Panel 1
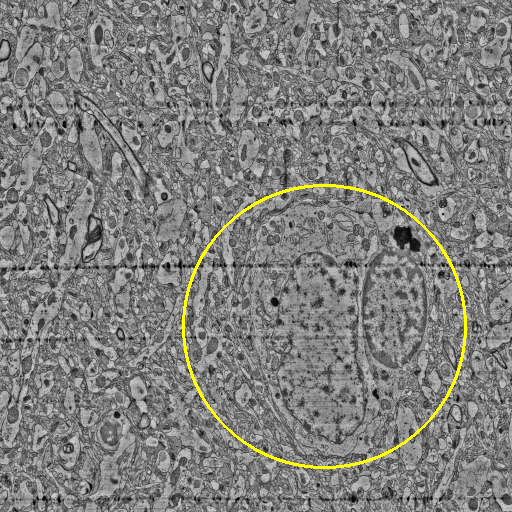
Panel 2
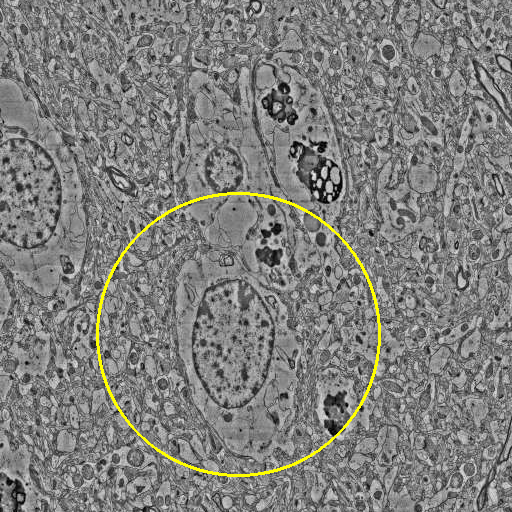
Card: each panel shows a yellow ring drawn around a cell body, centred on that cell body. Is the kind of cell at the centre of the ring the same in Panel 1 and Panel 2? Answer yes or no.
no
